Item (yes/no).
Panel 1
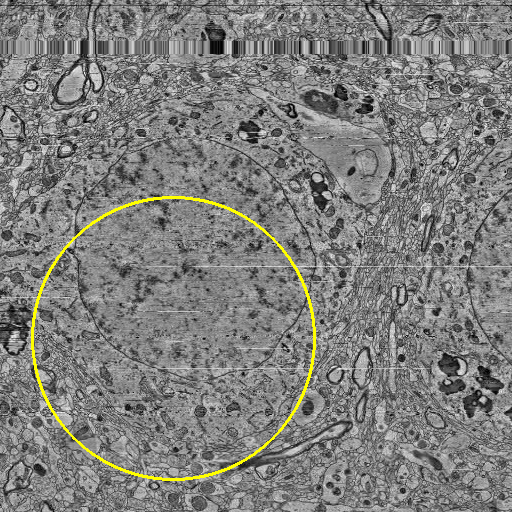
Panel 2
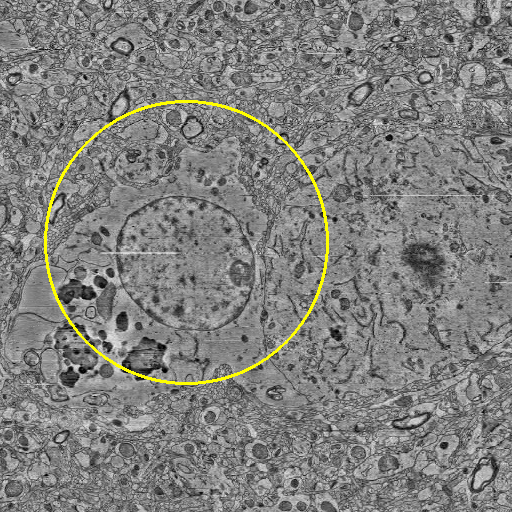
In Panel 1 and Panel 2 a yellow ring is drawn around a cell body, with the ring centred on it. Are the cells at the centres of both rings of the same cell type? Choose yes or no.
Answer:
no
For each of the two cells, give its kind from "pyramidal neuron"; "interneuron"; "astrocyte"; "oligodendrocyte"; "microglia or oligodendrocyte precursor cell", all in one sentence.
The first picture has a pyramidal neuron in its ring, the second has an astrocyte.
